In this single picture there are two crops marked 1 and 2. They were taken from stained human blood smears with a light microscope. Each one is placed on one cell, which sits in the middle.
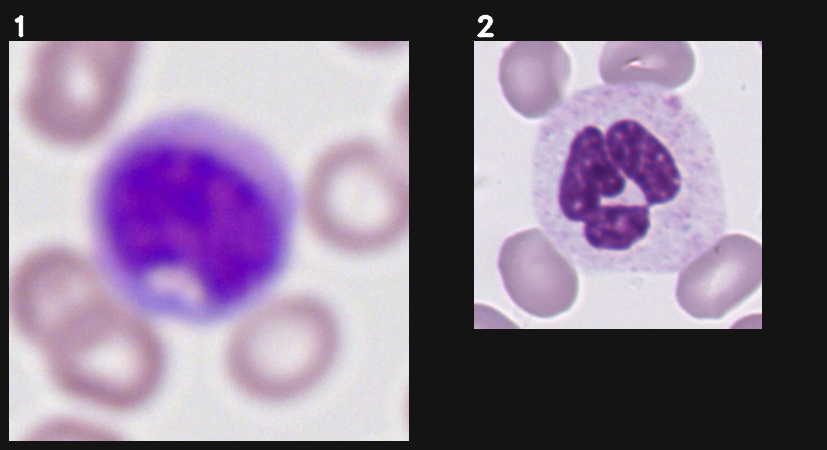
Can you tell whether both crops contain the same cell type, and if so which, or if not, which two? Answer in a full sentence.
No, crop 1 and crop 2 show a monocyte and a segmented neutrophil respectively.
